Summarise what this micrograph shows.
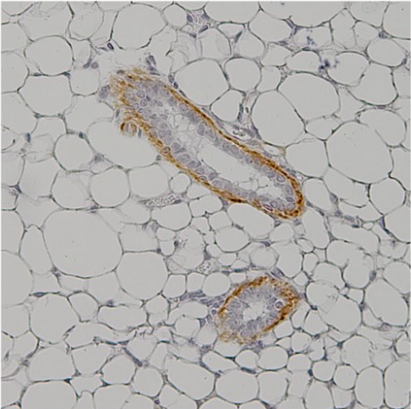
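Two mammary ducts, one elongated and one small and round in cross-section, lie within fatty tissue, each surrounded by a thin brown-stained outer layer of myoepithelial cells. The brown layer is continuous and hugs the outside of the epithelium, with flattened cells forming a rim. Inside it, the luminal epithelial cells form a layer with round to oval blue nuclei and pale cytoplasm, bordering an open lumen. A thin band of stroma with spindle-shaped blue nuclei surrounds the ducts. The remaining field is filled by large, empty, polygonal fat cells with thin walls.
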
